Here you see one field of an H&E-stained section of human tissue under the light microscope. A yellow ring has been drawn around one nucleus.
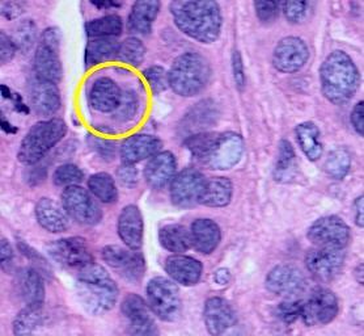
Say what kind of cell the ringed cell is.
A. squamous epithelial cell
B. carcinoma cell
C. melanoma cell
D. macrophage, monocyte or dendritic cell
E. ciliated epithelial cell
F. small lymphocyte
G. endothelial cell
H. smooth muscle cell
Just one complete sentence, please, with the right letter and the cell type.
It is option B that correctly calls the ringed cell a carcinoma cell.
